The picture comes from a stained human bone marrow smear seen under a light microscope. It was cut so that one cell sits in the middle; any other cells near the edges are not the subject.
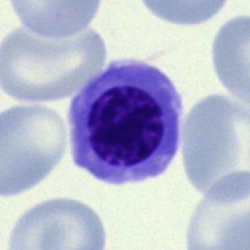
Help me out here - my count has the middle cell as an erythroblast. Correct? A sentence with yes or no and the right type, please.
Yes, the cell that occupies the centre is an erythroblast.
